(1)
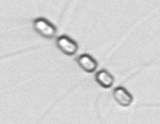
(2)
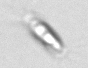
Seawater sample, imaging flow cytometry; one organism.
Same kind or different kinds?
Different: the first is Chaetoceros, the second Chrysochromulina parkeae.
